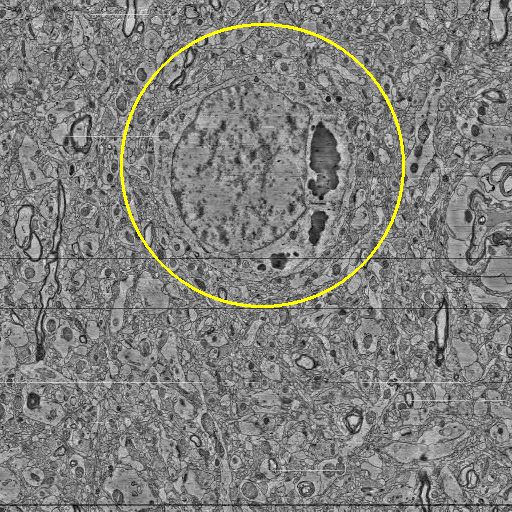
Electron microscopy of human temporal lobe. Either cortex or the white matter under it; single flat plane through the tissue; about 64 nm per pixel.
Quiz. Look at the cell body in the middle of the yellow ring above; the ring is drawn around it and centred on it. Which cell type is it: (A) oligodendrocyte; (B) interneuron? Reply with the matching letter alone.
B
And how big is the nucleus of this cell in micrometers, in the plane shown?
Approximately 12 x 9 micrometres in this plane.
